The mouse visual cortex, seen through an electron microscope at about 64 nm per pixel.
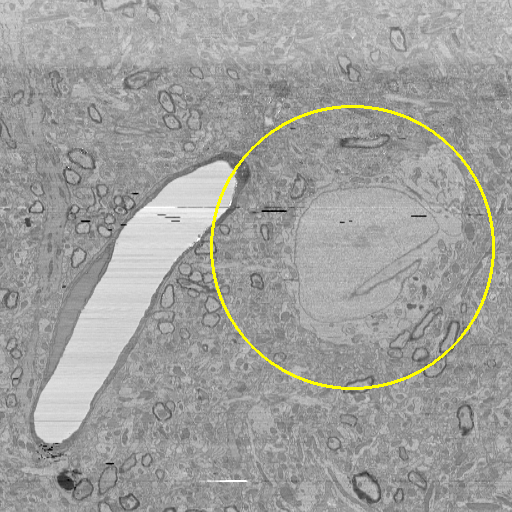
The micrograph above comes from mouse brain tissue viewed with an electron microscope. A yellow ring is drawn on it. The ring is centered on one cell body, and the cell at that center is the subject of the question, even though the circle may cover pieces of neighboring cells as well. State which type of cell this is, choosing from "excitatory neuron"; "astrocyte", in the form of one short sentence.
The cell the ring is centered on is an excitatory neuron.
